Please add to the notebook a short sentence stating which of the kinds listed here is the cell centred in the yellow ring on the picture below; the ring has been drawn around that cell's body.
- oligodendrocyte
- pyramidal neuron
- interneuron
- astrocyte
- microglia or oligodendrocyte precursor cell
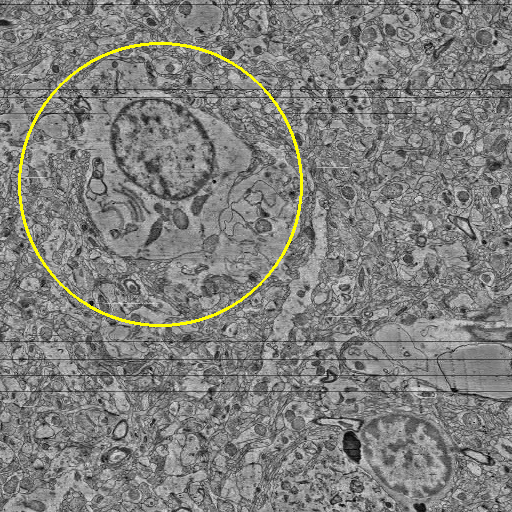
The cell centred in the yellow ring is an astrocyte.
